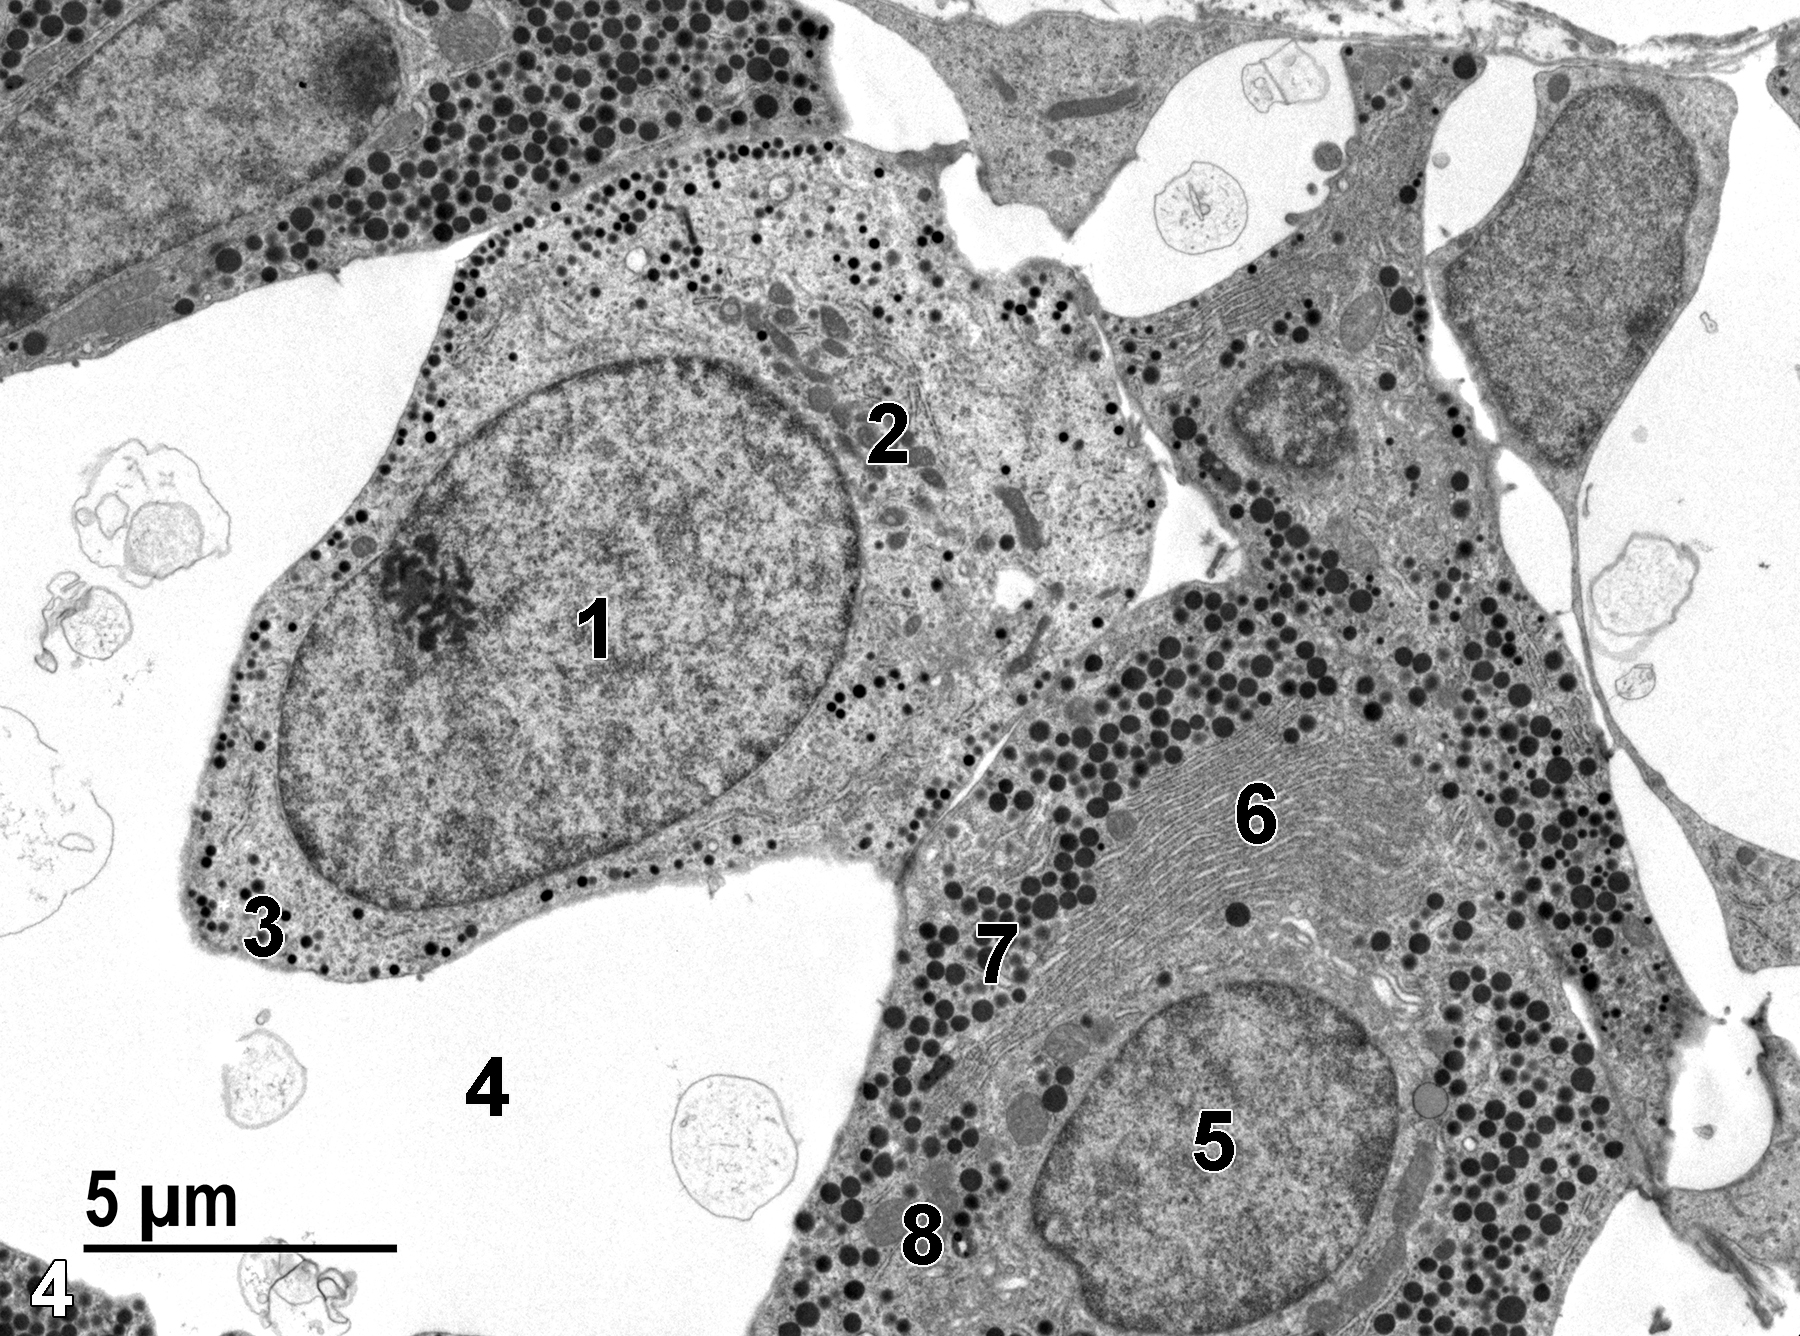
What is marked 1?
corticotrophic cell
